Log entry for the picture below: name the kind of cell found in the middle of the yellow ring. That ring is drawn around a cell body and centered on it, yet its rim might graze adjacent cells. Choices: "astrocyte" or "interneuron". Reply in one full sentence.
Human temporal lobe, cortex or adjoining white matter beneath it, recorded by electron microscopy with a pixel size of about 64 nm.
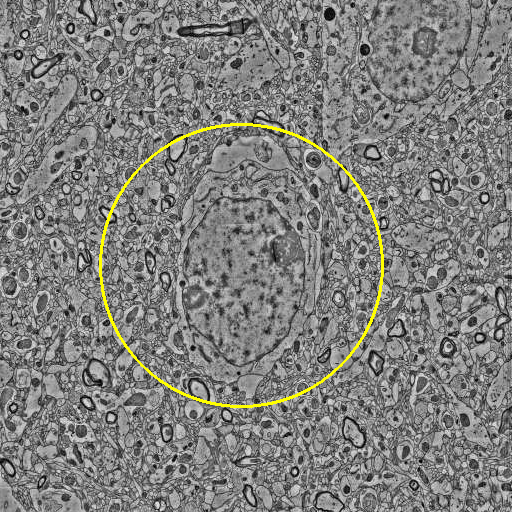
The cell in the middle of the yellow ring in this picture is an interneuron.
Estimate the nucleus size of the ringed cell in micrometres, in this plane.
In this plane the nucleus measures roughly 11 by 8 micrometres.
